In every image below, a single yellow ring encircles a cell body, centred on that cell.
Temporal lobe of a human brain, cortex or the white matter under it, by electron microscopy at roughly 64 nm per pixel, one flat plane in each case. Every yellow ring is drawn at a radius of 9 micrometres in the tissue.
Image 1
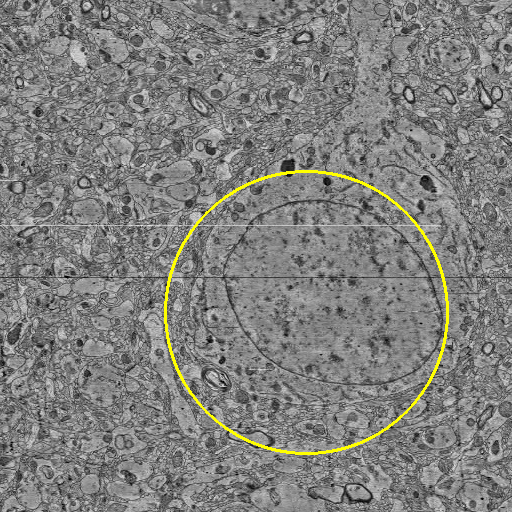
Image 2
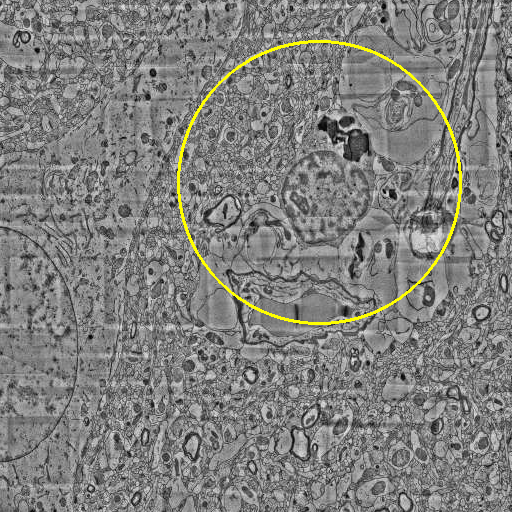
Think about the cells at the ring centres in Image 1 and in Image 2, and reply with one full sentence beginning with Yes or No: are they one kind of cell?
No, the cells centred in the rings of Image 1 and Image 2 are two kinds of cell.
